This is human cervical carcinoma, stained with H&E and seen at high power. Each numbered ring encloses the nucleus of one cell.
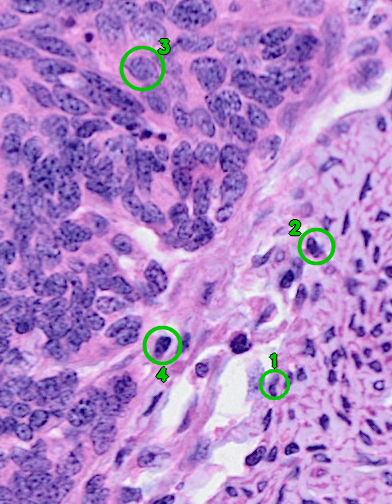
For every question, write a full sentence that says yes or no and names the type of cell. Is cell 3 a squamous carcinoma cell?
Yes, regarding number 3, the cell is a squamous carcinoma cell.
